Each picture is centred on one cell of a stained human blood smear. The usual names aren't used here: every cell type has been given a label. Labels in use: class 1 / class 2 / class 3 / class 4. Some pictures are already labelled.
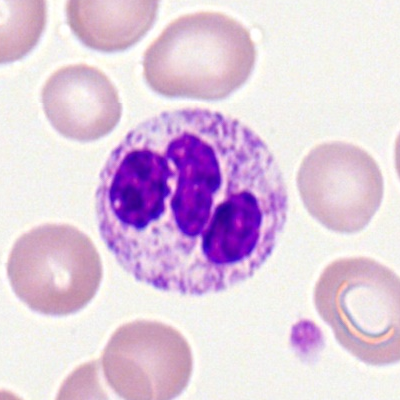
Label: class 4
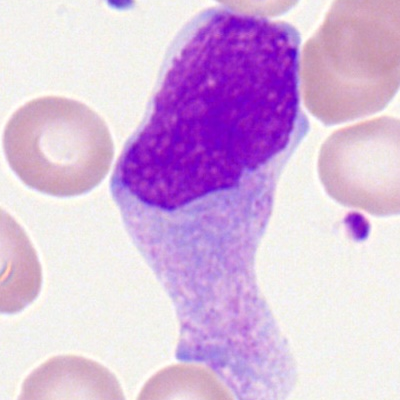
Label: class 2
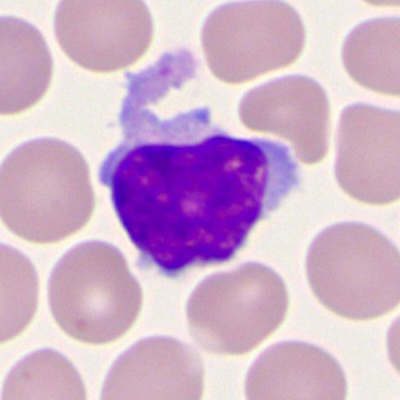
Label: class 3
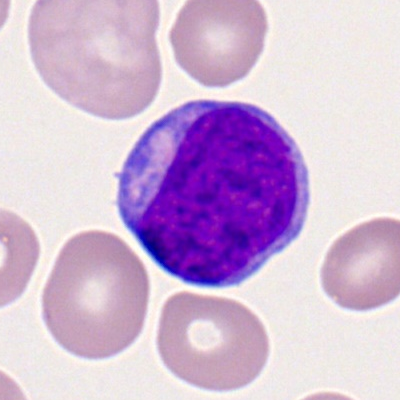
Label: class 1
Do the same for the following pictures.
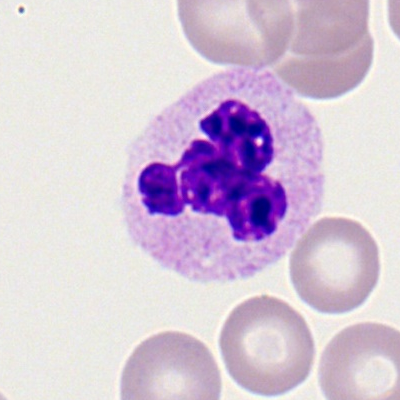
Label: class 4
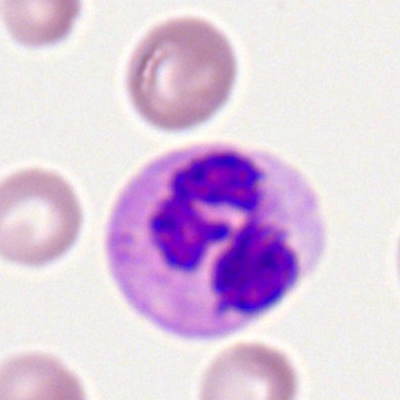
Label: class 4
